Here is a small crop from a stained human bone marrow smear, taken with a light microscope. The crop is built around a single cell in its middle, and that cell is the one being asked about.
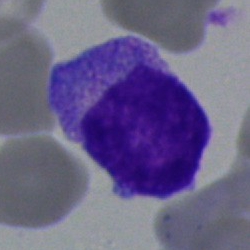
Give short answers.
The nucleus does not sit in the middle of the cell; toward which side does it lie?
lower right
